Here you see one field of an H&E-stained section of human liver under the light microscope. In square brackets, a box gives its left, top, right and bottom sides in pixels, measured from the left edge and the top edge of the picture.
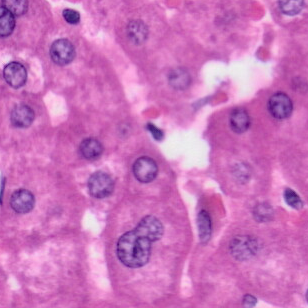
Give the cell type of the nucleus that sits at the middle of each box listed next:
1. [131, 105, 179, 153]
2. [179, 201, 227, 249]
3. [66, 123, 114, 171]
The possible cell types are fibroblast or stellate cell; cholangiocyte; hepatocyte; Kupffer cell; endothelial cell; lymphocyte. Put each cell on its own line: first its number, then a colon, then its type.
1: lymphocyte
2: Kupffer cell
3: hepatocyte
